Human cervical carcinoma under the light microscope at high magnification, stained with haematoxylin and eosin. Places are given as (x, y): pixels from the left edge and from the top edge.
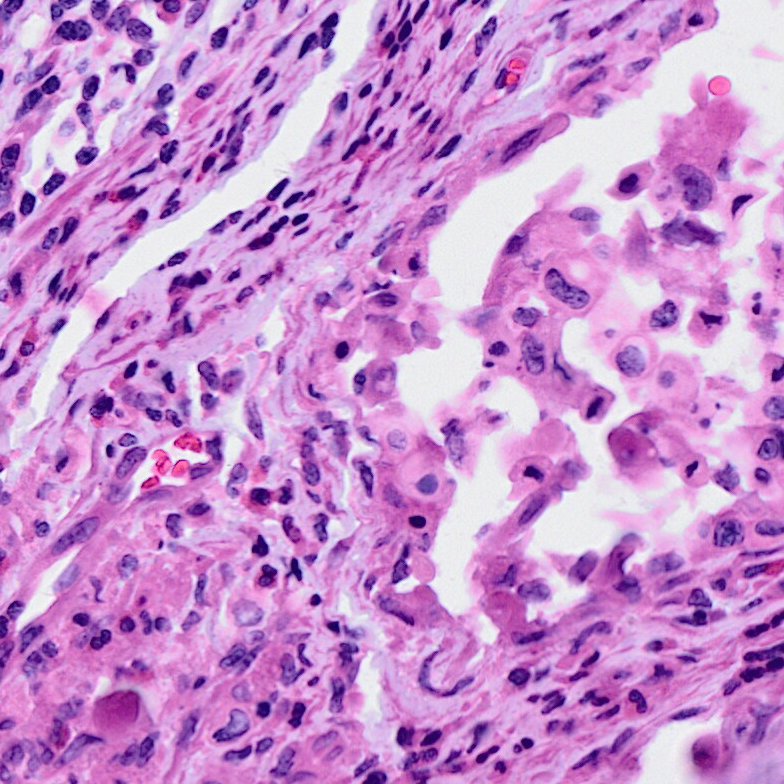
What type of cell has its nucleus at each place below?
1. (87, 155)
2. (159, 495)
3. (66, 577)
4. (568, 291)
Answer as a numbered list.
1. lymphocyte
2. endothelial cell
3. endothelial cell
4. squamous carcinoma cell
